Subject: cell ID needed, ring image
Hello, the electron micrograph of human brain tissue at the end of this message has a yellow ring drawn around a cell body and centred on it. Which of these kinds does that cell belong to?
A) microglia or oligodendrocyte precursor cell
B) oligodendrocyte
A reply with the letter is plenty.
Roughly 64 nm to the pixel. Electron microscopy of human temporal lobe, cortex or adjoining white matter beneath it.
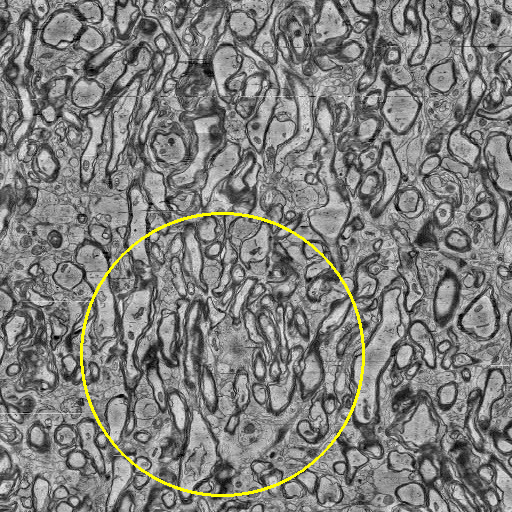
B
